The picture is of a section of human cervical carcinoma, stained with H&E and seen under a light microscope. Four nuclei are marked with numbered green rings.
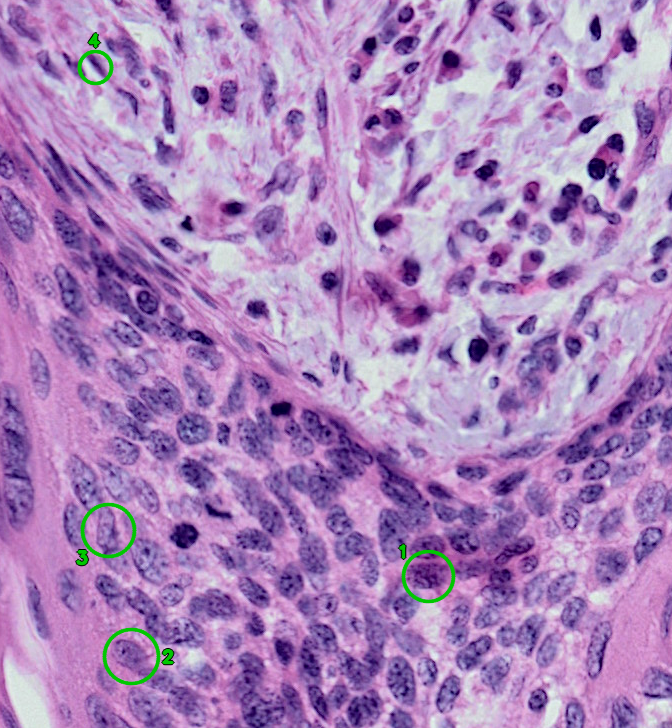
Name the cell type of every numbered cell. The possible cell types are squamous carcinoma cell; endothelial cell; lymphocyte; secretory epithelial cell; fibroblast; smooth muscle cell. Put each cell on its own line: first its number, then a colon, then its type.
1: squamous carcinoma cell
2: squamous carcinoma cell
3: squamous carcinoma cell
4: fibroblast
